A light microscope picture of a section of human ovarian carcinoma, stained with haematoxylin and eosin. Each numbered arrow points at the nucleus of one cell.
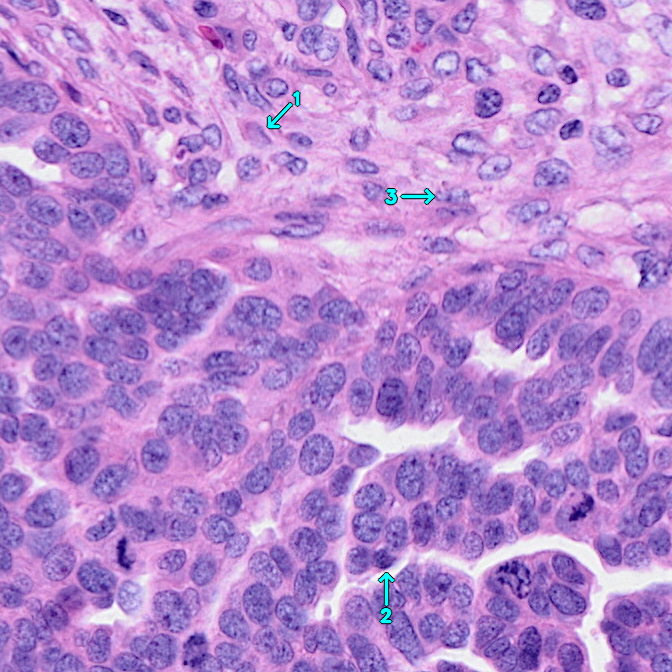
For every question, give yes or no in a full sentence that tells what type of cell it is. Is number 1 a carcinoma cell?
No, number 1 corresponds to a fibroblast, not a carcinoma cell.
